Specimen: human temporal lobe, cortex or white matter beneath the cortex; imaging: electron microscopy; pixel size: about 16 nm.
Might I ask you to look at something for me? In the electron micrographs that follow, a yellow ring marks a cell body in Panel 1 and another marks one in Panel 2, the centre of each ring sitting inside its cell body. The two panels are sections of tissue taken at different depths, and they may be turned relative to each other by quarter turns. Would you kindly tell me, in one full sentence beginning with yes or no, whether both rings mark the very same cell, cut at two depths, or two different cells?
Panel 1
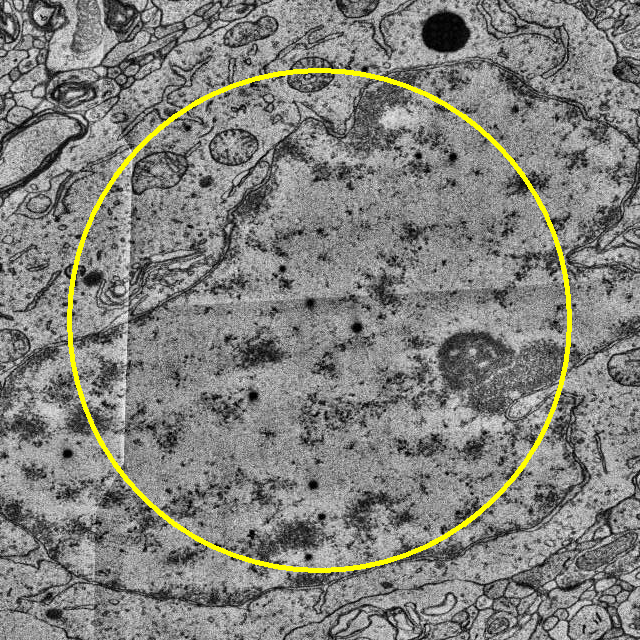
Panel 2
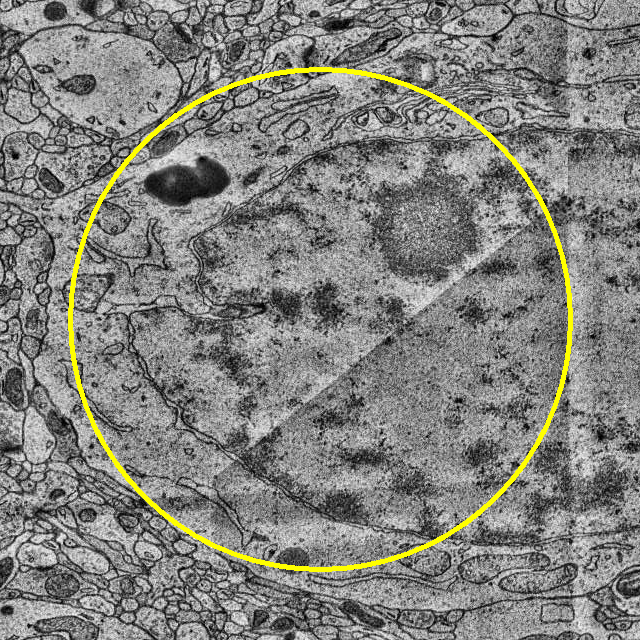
No, the cells inside the two rings are not the same cell.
